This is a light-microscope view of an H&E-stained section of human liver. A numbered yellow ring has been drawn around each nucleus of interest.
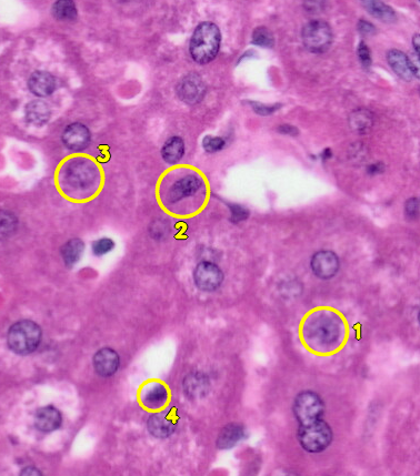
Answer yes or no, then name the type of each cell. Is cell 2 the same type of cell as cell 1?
No, cell 2 is a fibroblast or stellate cell; cell 1 is a hepatocyte.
